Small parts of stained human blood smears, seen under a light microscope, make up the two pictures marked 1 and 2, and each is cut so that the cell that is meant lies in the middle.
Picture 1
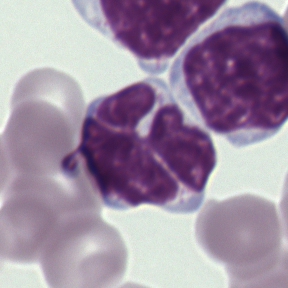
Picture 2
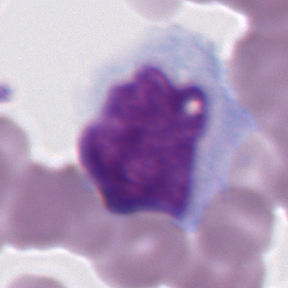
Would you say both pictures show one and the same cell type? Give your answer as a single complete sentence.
No. Picture 1 shows a large granular lymphocyte, but picture 2 shows a monocyte.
